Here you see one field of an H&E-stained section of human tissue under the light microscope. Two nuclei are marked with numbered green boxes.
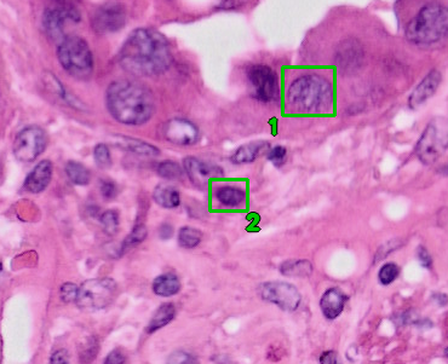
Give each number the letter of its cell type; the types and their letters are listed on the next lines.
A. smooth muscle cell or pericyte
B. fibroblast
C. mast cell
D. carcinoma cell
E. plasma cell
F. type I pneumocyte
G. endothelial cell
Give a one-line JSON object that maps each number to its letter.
{"1": "D", "2": "E"}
